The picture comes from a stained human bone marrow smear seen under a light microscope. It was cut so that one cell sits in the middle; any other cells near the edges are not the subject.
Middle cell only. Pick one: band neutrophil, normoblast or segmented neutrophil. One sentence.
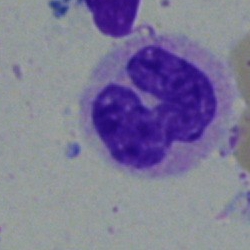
What the crop centres on is a segmented neutrophil.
